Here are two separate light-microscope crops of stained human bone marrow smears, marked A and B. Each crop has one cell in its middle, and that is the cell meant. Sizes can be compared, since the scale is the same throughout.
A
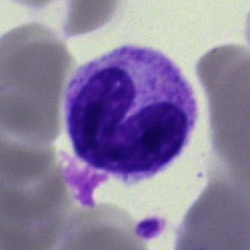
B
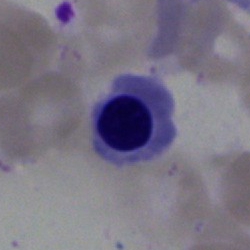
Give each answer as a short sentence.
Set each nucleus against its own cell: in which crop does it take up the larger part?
In picture A the nucleus takes up the larger part of its cell.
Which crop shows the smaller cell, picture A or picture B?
Smaller is the cell in picture B, and the other is about 2.5 times as large in area.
